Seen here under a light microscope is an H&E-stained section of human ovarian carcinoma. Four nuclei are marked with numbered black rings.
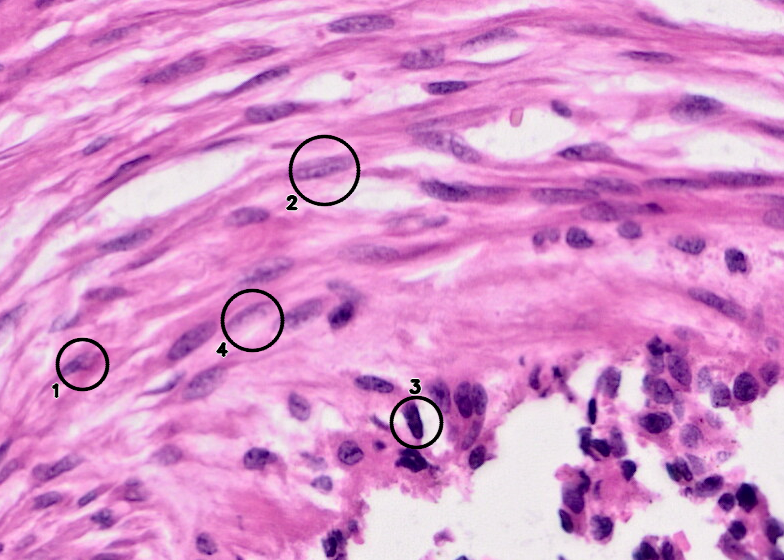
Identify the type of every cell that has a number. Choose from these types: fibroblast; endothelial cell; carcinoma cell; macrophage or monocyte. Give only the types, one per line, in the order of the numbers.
fibroblast
fibroblast
carcinoma cell
fibroblast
